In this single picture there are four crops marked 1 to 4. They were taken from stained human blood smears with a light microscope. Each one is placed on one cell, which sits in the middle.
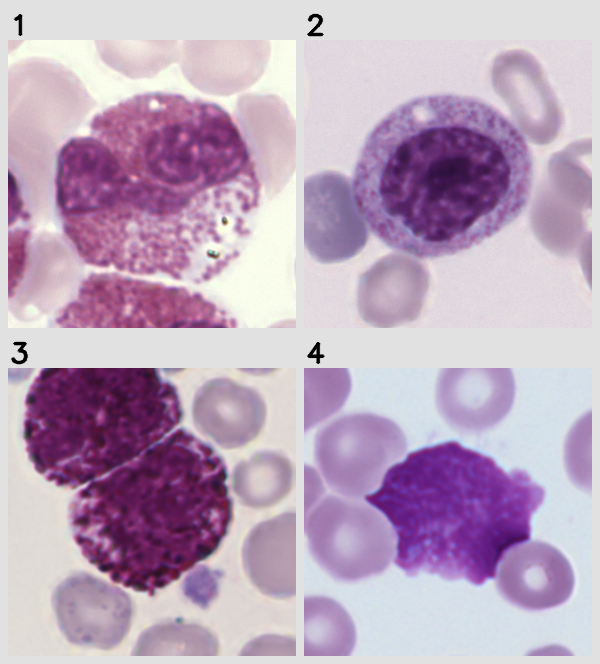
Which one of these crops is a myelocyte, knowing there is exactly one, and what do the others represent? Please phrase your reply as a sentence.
In the crop designated 2, the cell is a myelocyte, while crop 1 is an eosinophil, crop 3 is a basophil and crop 4 is a smudge cell.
